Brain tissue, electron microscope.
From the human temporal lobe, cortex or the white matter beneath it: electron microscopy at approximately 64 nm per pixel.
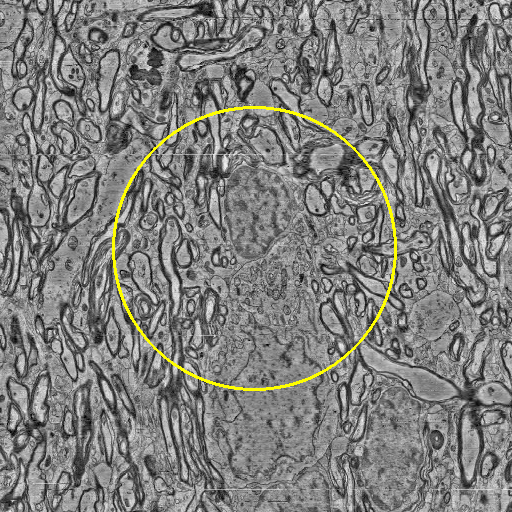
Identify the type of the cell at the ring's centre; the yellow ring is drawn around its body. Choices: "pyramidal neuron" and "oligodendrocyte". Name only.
oligodendrocyte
